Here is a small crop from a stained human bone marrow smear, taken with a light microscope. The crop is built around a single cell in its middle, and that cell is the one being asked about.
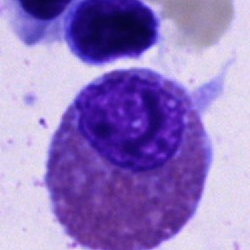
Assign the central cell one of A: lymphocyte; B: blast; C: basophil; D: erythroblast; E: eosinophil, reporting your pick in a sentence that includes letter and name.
Option E is the correct selection, for the cell at the centre is an eosinophil.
